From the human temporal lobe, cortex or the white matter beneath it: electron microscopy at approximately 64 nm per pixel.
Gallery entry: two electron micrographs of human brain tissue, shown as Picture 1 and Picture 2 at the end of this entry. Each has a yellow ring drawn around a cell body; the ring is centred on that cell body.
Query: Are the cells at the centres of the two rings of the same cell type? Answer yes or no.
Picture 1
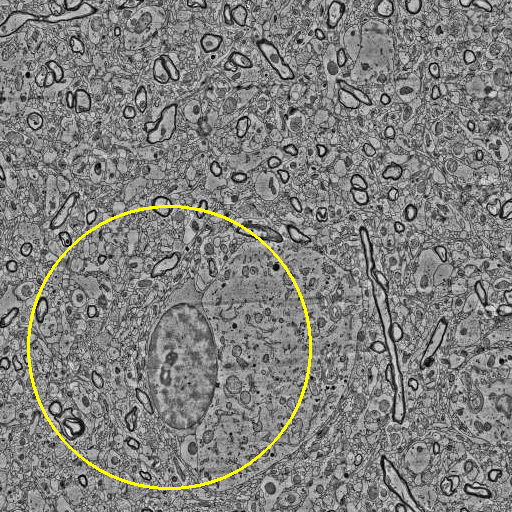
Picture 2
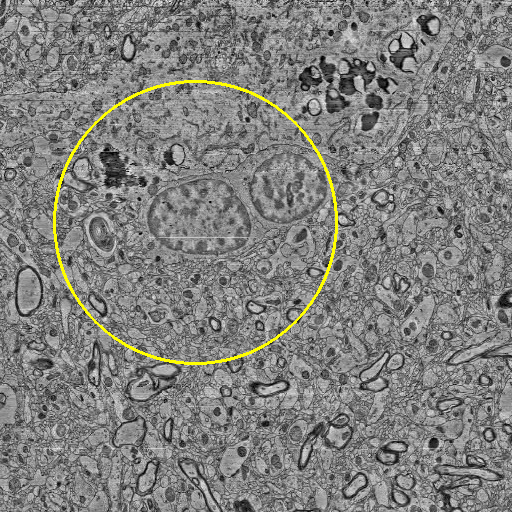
yes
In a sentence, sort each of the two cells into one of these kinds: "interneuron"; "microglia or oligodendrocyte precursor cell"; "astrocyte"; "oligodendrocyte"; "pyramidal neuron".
Both pictures show an oligodendrocyte at the centre of the ring.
